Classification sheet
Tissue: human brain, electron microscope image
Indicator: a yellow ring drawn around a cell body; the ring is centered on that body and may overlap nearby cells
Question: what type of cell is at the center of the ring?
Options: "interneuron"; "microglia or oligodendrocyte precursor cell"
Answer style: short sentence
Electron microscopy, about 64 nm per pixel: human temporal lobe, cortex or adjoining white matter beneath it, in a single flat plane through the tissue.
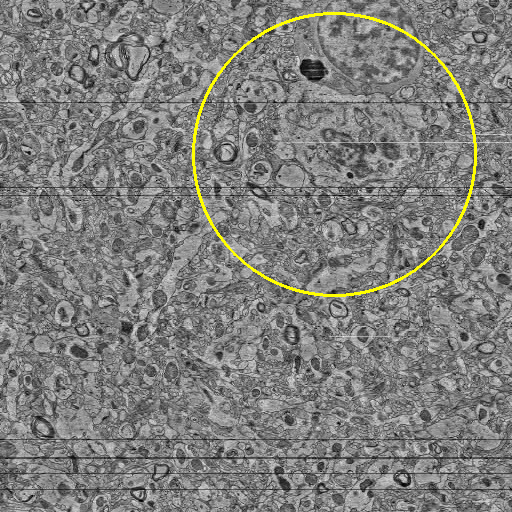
At the ring's center is an interneuron.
